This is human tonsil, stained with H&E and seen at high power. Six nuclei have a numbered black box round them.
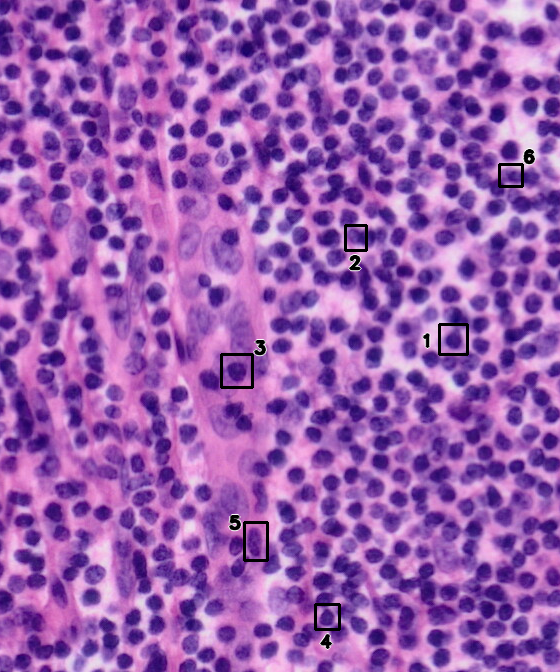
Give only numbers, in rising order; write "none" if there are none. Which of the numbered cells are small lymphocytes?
1, 2, 4, 6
